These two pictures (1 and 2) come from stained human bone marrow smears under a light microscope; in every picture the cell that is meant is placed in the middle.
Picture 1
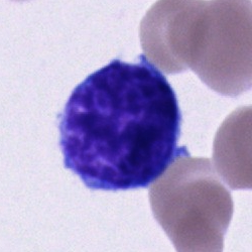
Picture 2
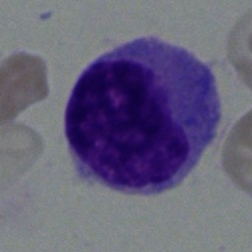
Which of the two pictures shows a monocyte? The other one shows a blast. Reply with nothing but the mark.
2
